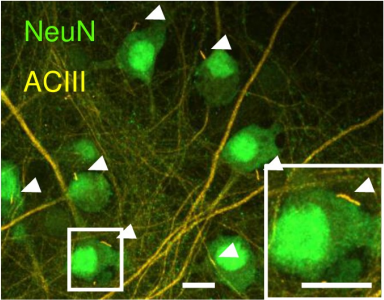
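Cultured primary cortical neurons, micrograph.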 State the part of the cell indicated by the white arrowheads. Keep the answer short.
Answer: Ciliated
